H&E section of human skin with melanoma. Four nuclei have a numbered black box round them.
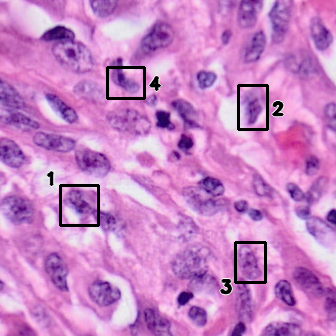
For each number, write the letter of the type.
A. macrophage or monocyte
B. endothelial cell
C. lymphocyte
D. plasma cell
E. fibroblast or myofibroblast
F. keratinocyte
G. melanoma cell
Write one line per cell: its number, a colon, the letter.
1: G
2: G
3: G
4: A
